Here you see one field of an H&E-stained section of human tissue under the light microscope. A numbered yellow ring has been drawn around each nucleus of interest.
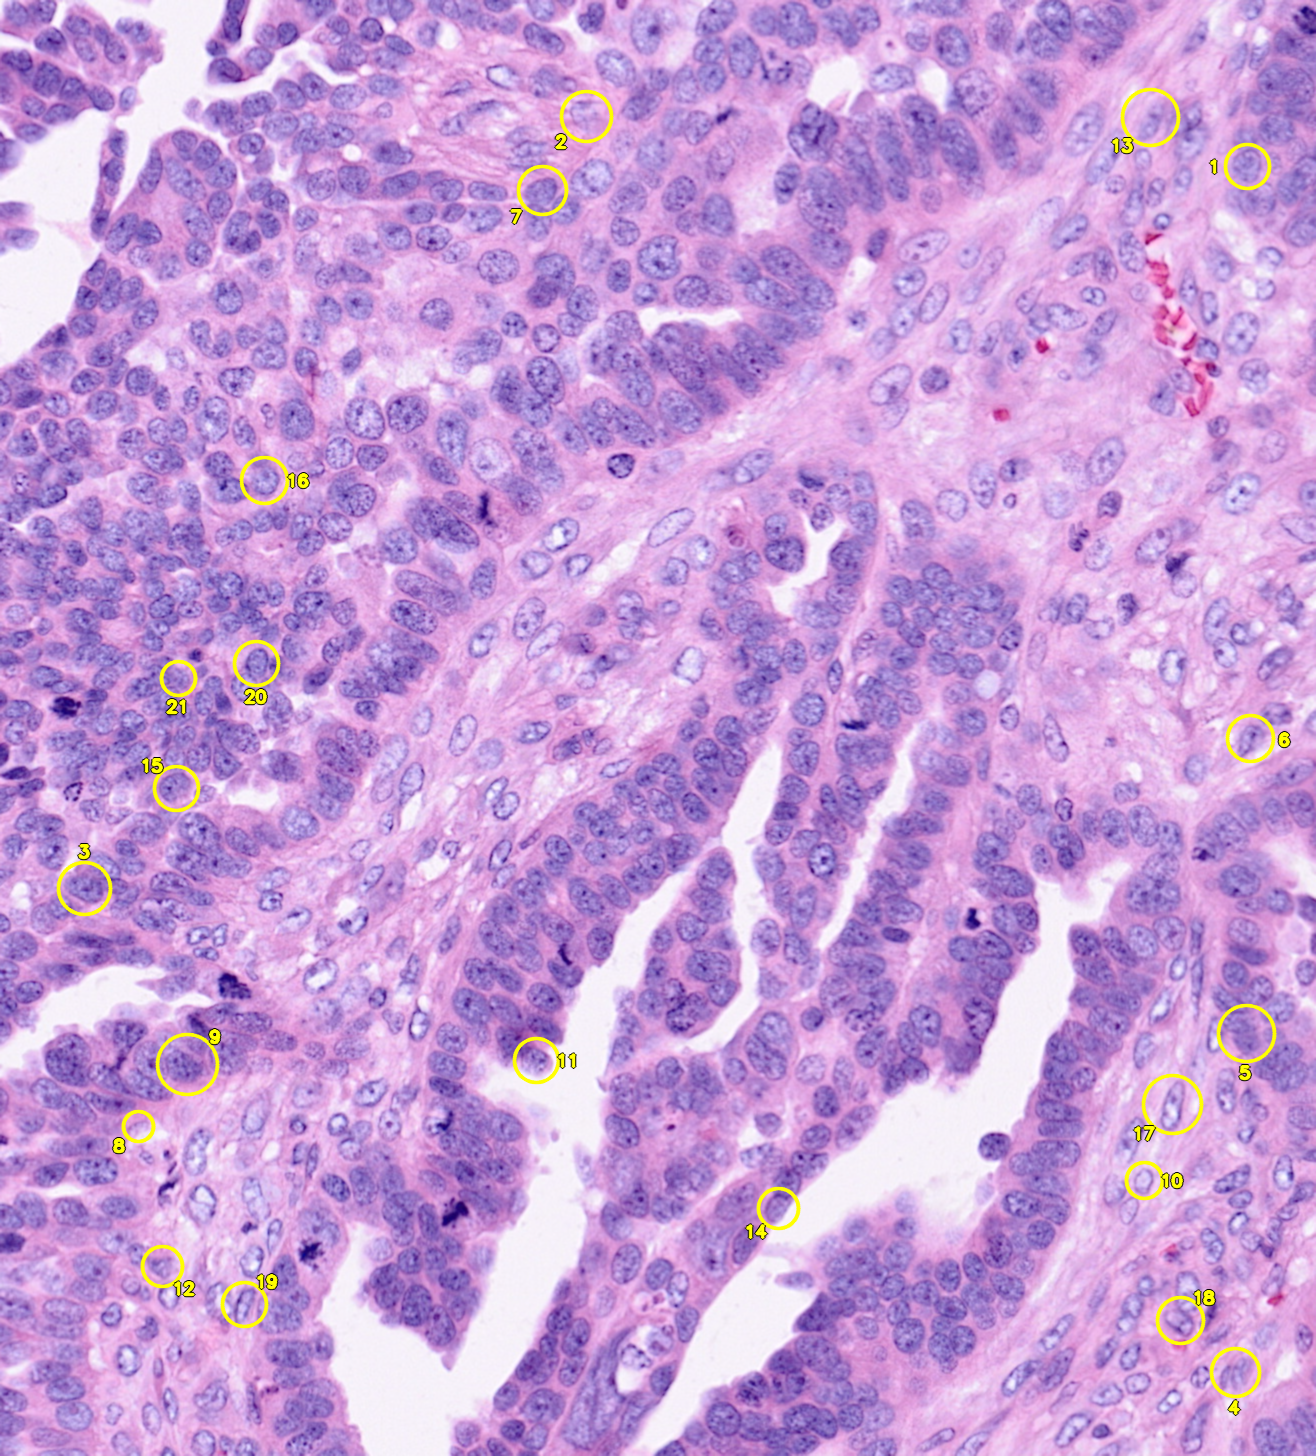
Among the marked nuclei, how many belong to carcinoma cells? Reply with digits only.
11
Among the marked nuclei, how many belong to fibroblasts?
9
